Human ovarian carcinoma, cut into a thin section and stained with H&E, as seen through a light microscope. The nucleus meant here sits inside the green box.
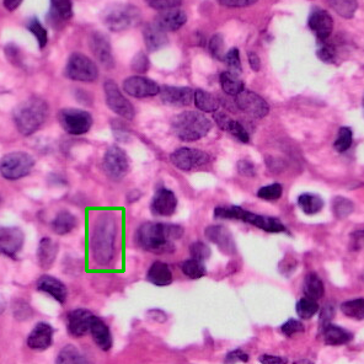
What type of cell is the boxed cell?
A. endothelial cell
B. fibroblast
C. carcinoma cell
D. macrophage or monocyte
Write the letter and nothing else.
A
